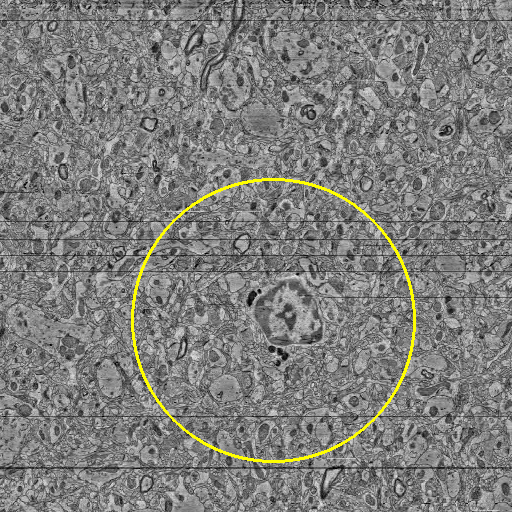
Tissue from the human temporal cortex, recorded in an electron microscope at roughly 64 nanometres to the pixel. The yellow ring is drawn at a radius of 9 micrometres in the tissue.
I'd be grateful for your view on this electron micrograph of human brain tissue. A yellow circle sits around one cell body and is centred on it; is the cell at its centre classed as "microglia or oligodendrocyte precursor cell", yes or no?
yes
